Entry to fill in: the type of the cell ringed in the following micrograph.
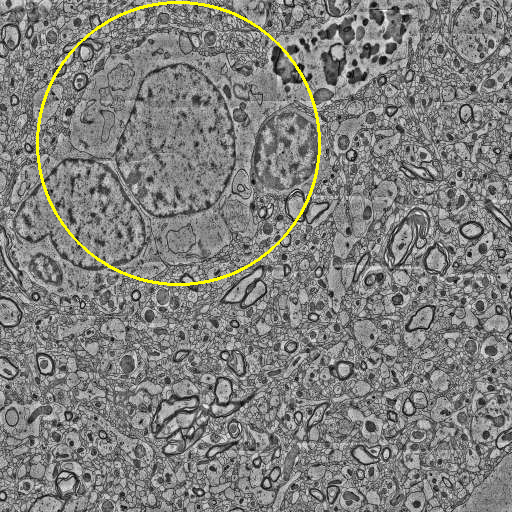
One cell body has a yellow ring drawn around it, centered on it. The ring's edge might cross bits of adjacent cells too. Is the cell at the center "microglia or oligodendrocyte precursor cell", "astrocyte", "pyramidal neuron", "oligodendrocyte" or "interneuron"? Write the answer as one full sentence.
This entry names an astrocyte as the cell whose body lies at the ring's center.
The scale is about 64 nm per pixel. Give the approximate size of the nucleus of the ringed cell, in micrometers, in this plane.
The nucleus is approximately 10 micrometers long by 8 micrometers wide in this plane.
